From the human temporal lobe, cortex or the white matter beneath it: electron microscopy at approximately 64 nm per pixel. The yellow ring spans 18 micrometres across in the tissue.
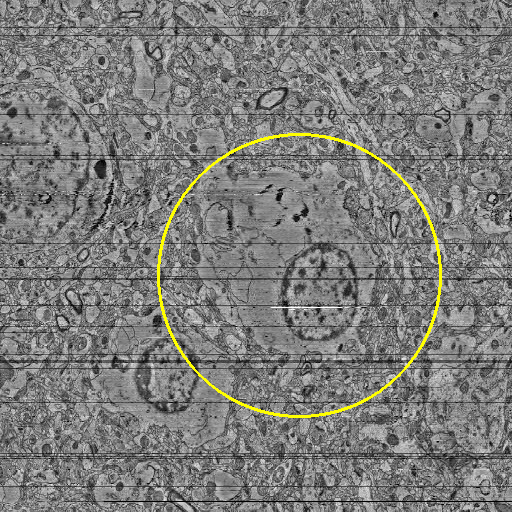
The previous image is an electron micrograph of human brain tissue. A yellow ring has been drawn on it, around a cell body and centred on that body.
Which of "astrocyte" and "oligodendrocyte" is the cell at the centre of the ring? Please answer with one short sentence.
The cell body at the centre of the ring belongs to an astrocyte.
